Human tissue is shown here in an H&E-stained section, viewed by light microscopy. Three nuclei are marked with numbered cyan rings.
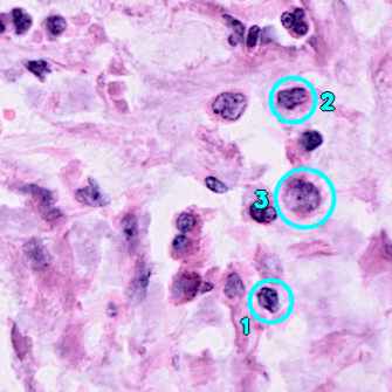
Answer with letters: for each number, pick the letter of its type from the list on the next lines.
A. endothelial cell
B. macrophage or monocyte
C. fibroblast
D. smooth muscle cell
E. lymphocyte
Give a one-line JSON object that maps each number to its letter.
{"1": "E", "2": "B", "3": "B"}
